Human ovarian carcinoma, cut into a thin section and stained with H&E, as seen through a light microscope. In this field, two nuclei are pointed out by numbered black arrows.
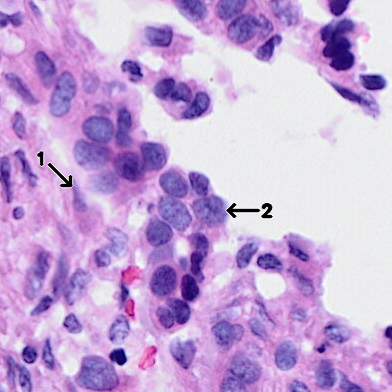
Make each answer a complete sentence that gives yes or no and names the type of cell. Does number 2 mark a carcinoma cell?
Yes, the cell distinguished by number 2 is a carcinoma cell.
